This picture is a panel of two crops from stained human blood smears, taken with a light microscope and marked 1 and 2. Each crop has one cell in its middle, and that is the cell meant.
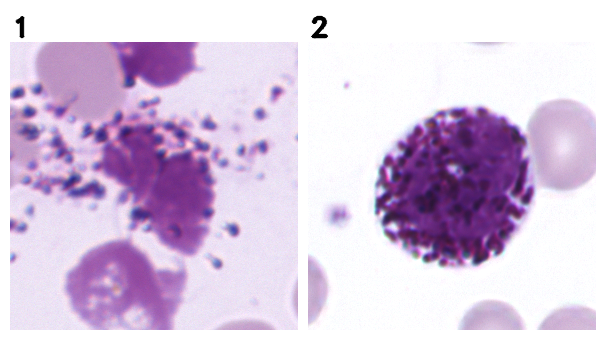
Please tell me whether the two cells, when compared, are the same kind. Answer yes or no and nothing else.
yes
